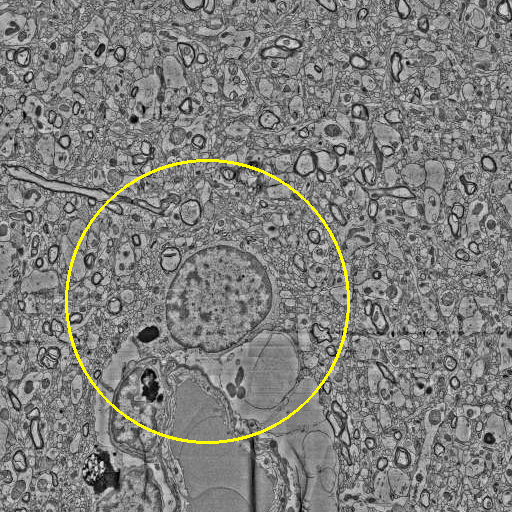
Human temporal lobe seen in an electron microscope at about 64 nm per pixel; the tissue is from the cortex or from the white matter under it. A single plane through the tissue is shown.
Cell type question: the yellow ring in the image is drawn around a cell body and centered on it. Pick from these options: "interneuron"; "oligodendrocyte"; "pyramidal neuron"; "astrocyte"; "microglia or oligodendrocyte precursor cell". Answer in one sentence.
The ringed cell at the center is an oligodendrocyte.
